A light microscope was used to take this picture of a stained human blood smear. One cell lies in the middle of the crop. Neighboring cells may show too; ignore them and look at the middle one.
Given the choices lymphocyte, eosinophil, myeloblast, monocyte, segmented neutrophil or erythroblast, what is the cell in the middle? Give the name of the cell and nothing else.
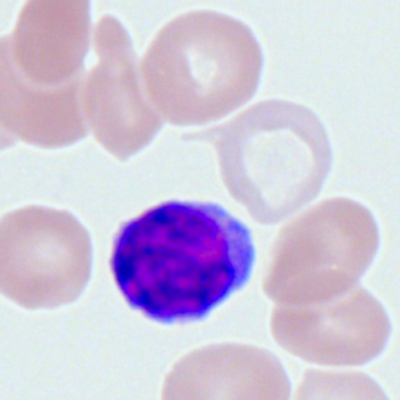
lymphocyte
